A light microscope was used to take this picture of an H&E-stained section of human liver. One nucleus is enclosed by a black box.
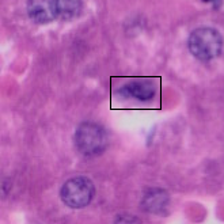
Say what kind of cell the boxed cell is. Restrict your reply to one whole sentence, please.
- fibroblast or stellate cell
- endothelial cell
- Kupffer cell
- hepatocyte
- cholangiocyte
In cell-type terms, the boxed cell is a Kupffer cell.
